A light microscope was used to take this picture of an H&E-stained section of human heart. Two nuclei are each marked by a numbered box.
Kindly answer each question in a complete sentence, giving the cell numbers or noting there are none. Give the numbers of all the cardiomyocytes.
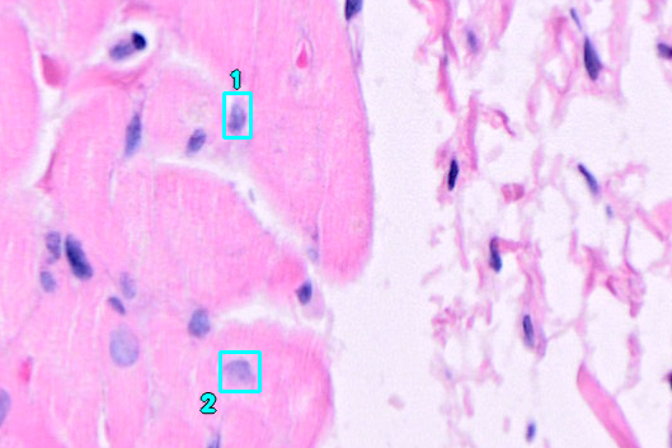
Cell 2 is a cardiomyocyte; every other numbered cell is something else.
